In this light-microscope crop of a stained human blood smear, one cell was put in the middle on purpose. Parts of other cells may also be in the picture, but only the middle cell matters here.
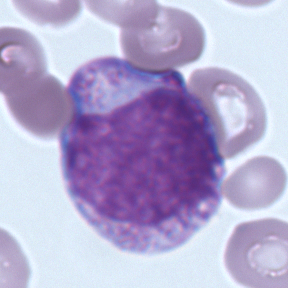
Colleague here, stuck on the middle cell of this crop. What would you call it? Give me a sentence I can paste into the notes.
To answer, the cell in the center of the crop is an atypical promyelocyte.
